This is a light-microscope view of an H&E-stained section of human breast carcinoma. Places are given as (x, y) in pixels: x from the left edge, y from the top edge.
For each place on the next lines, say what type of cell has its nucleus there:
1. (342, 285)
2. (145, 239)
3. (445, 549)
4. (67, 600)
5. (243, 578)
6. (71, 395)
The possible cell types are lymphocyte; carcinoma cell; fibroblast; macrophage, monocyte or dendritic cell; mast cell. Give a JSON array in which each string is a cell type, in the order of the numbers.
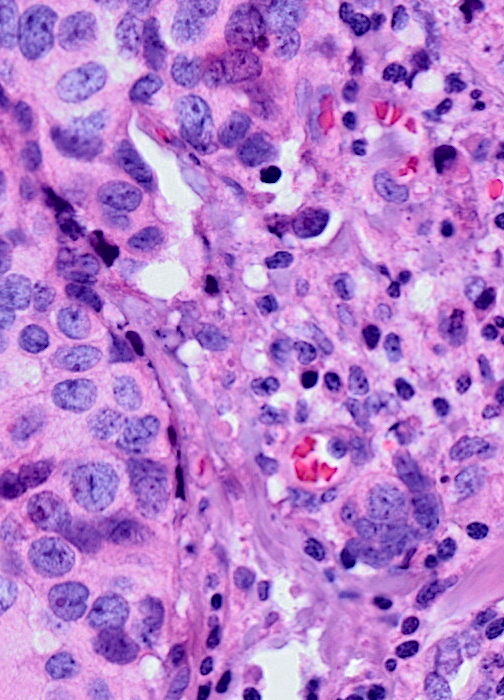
["macrophage, monocyte or dendritic cell", "carcinoma cell", "lymphocyte", "carcinoma cell", "macrophage, monocyte or dendritic cell", "carcinoma cell"]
